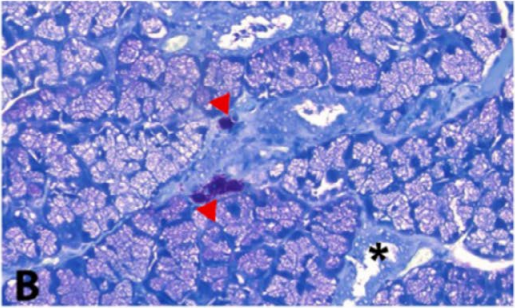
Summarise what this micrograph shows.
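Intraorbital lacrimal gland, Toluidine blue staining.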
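Lobules of glandular tissue stain blue, their cells showing a pale, reticulated cytoplasm grouped into rounded units. Between the lobules runs a band of lighter blue connective tissue with a few open spaces. Within this band lie a few small cells stained a deep purple, clearly darker than everything around them.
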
